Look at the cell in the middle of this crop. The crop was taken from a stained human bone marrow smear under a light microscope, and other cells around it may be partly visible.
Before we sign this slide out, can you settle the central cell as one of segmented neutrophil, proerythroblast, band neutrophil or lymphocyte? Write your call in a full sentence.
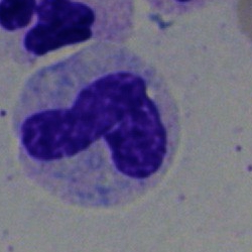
At the crop's centre, the cell is a band neutrophil.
